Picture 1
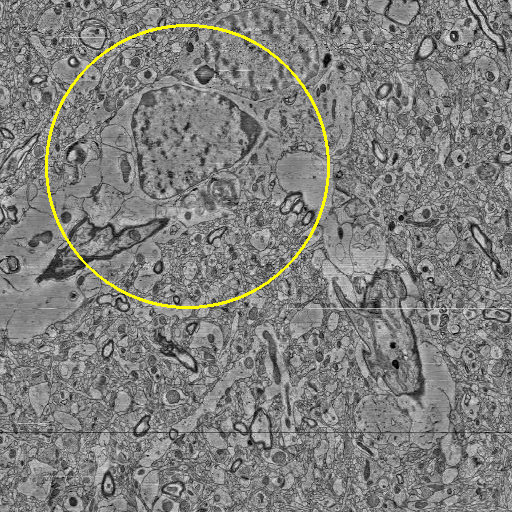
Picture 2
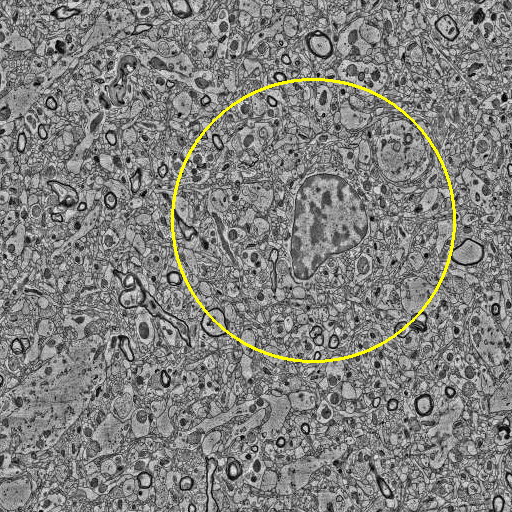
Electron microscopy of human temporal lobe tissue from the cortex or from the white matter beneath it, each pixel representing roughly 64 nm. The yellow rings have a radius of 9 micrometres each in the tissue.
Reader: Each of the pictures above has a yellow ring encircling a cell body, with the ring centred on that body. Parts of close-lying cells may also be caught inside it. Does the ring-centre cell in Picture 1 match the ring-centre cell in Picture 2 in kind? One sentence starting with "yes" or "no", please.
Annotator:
Yes, Picture 1 and Picture 2 show ring-centre cells of a single kind.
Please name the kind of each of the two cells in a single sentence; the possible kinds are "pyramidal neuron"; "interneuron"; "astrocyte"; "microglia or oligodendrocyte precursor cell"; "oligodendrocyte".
Each of the two cells is a microglial cell or oligodendrocyte precursor cell.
